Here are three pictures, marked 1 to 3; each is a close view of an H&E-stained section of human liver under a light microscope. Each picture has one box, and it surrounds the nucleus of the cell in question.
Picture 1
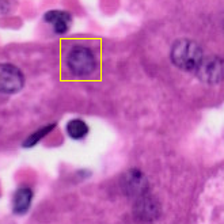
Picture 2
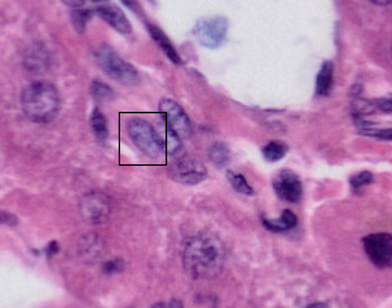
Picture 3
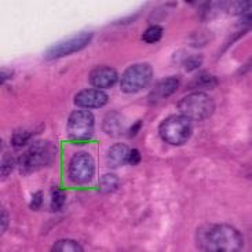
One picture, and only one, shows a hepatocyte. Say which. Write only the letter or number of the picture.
1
